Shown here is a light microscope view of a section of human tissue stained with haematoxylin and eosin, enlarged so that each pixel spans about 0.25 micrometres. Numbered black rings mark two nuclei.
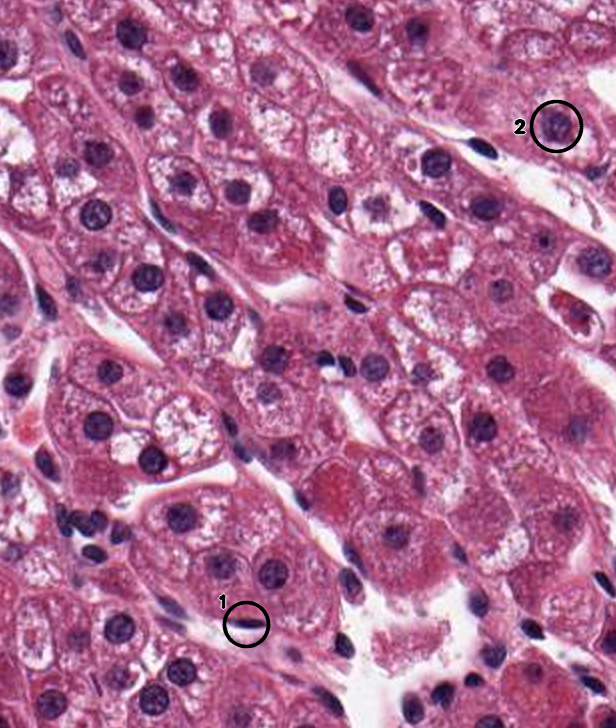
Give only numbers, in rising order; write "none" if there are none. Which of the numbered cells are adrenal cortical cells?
2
